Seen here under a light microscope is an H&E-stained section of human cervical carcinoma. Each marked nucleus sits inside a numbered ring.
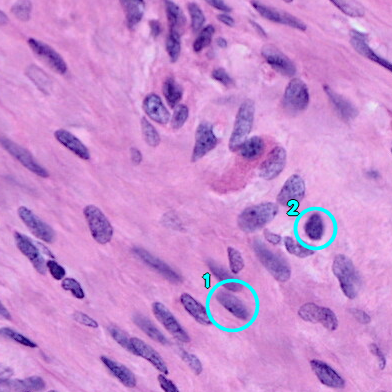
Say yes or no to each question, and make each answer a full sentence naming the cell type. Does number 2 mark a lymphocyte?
Yes, what number 2 marks is a lymphocyte.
